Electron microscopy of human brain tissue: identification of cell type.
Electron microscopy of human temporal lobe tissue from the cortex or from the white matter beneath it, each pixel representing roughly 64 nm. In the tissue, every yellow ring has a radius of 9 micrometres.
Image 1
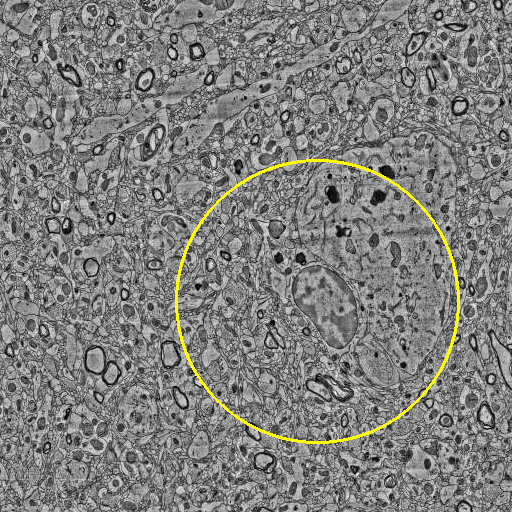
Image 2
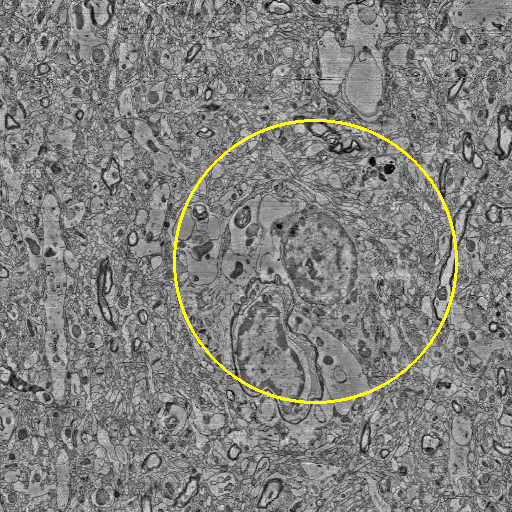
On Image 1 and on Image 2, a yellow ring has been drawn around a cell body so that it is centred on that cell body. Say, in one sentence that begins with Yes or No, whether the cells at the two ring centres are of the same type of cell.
No, the two cells are two separate types of cell.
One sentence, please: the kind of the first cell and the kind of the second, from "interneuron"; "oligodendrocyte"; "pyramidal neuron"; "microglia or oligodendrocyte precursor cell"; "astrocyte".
The ring in the first picture surrounds a microglial cell or oligodendrocyte precursor cell, and the ring in the second surrounds an oligodendrocyte.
